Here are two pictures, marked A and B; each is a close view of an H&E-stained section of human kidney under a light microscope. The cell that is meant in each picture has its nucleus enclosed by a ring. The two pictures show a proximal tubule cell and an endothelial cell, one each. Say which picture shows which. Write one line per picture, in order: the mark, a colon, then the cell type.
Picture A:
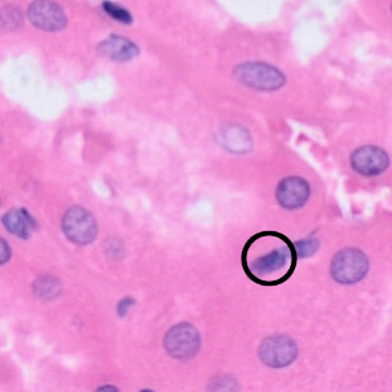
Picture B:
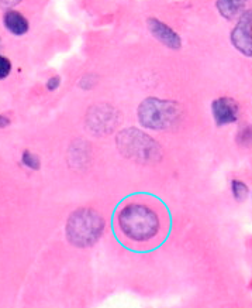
A: endothelial cell
B: proximal tubule cell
